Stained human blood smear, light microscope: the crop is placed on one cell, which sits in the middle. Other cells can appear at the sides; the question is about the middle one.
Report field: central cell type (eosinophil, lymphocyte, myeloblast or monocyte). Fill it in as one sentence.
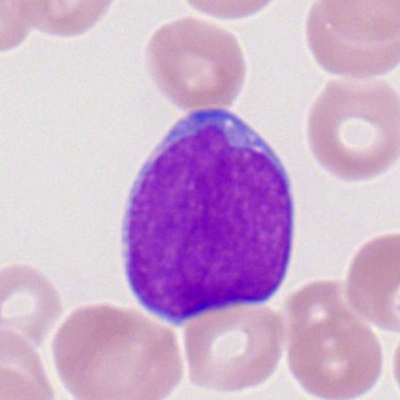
At the crop's centre, the cell is a myeloblast.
